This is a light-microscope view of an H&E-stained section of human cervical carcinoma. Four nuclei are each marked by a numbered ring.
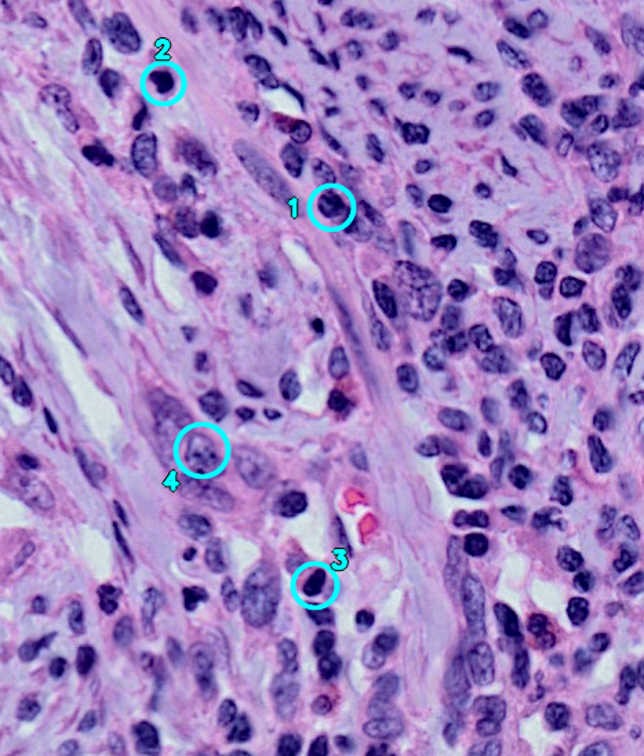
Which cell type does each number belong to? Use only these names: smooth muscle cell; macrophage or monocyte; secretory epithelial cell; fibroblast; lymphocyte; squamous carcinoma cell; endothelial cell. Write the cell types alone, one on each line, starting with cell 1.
lymphocyte
lymphocyte
lymphocyte
endothelial cell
